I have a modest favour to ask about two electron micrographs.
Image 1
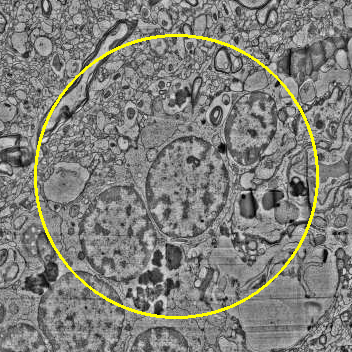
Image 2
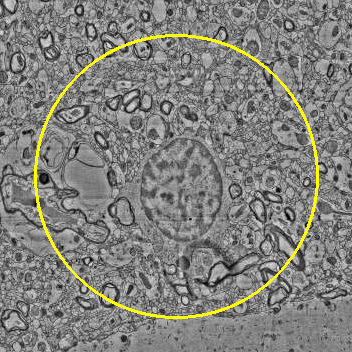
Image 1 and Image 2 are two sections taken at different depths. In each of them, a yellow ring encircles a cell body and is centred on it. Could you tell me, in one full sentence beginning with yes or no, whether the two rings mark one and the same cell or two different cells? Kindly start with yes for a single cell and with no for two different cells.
No, the yellow rings mark two separate cells, not one.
